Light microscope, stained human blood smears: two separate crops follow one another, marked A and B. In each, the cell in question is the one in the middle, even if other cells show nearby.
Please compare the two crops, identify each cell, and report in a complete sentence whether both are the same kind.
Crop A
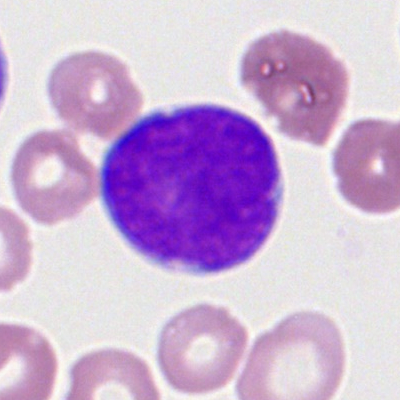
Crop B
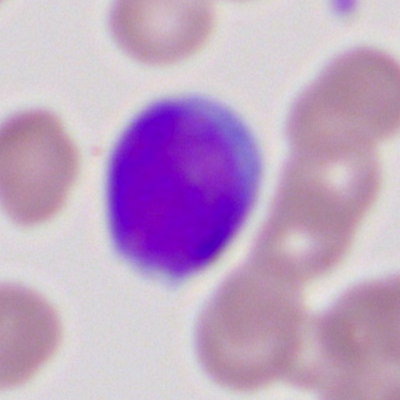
Yes, as for both crops, the cells shown are myeloblasts.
